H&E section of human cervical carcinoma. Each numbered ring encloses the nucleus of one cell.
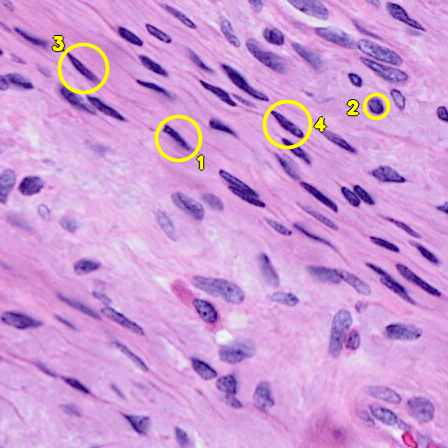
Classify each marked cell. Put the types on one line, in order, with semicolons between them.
fibroblast; smooth muscle cell; fibroblast; fibroblast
